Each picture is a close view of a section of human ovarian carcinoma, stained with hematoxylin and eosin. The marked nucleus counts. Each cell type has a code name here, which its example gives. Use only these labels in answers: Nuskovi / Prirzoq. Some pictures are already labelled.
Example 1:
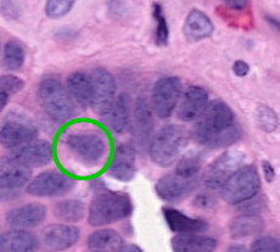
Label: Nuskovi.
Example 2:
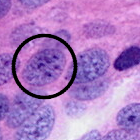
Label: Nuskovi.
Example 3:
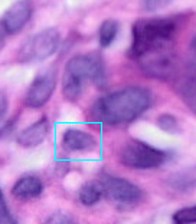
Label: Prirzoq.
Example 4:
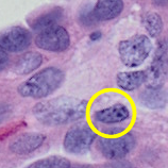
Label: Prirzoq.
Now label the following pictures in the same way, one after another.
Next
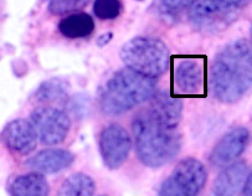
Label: Nuskovi.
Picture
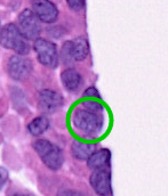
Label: Nuskovi.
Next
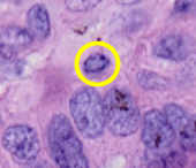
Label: Prirzoq.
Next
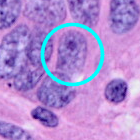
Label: Nuskovi.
